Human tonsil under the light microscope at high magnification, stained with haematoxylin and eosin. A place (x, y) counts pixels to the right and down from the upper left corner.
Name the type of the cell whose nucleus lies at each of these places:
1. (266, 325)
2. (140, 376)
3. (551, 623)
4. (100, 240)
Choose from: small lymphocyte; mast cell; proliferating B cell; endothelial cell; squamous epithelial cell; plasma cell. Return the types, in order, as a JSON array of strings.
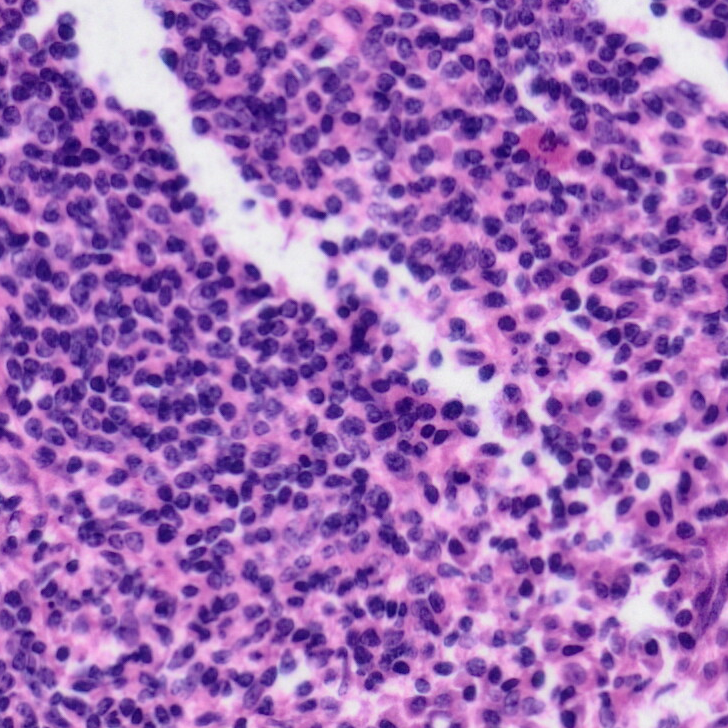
["small lymphocyte", "small lymphocyte", "plasma cell", "small lymphocyte"]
